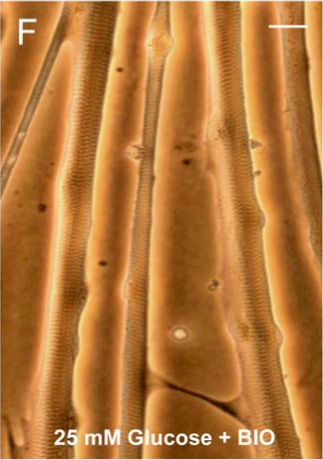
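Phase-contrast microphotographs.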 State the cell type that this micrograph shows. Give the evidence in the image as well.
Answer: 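Myotubes. Long, parallel, ribbon-like cells span the whole field. Fine regular cross-banding runs along several of the cells.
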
